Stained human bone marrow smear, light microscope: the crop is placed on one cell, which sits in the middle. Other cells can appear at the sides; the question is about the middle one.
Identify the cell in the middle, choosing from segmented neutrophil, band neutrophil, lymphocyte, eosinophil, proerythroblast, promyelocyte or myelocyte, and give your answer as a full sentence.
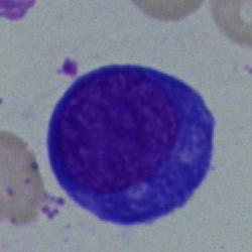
The cell of interest, in the center, is a proerythroblast.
